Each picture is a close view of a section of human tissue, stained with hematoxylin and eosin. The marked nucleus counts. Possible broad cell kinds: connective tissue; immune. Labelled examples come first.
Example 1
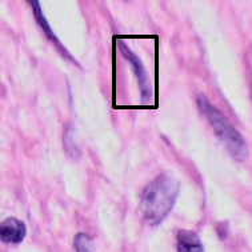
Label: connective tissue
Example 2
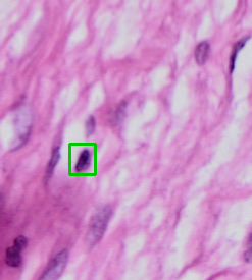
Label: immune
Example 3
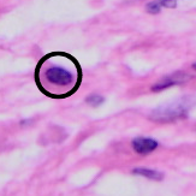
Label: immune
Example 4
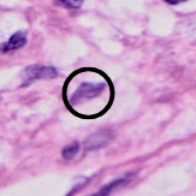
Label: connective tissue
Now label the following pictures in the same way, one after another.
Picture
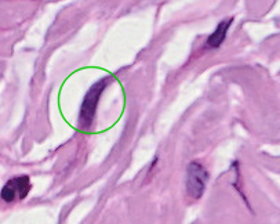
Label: connective tissue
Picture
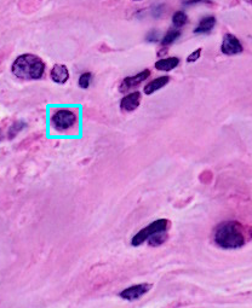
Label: immune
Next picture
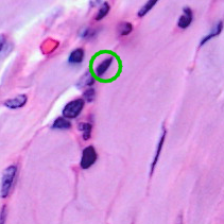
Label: immune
